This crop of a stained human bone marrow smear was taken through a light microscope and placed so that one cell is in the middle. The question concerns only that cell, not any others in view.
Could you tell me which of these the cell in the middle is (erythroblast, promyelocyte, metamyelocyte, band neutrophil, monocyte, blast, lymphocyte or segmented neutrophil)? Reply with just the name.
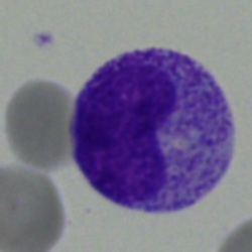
metamyelocyte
